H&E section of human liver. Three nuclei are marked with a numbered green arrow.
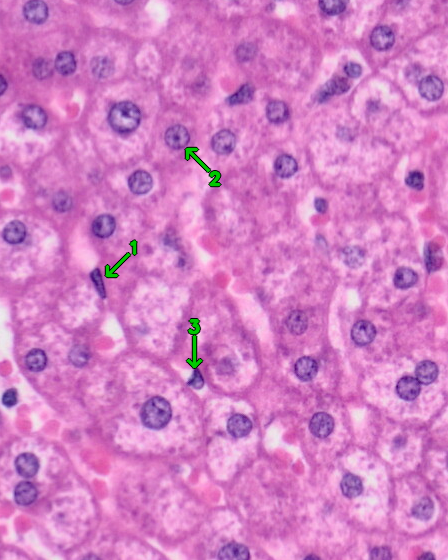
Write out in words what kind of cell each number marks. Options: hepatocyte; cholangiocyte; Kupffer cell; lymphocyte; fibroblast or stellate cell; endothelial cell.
Cell 1 is a fibroblast or stellate cell. Cell 2 is a hepatocyte. Cell 3 is an endothelial cell.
